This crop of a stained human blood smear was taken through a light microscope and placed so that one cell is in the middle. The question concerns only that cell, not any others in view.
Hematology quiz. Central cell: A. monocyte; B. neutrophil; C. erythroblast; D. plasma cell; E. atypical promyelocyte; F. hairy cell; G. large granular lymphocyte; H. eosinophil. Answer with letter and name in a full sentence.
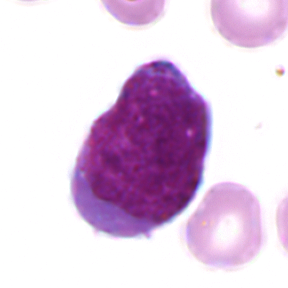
Option E is the right choice, the central cell being an atypical promyelocyte.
